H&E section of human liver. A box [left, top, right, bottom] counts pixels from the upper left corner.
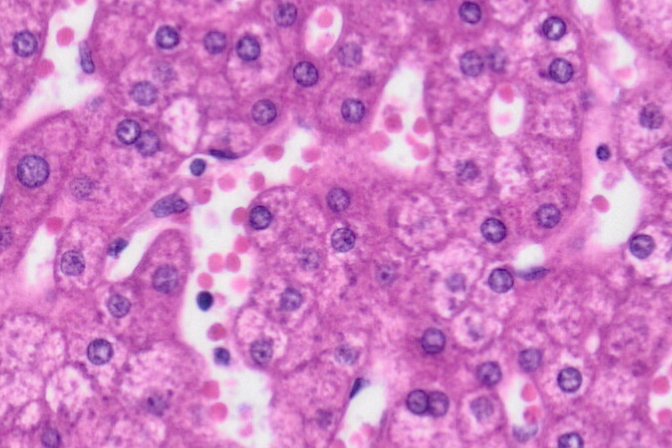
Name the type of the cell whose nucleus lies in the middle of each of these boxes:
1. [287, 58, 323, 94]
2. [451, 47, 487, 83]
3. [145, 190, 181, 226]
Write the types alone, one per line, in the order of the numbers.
hepatocyte
hepatocyte
Kupffer cell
